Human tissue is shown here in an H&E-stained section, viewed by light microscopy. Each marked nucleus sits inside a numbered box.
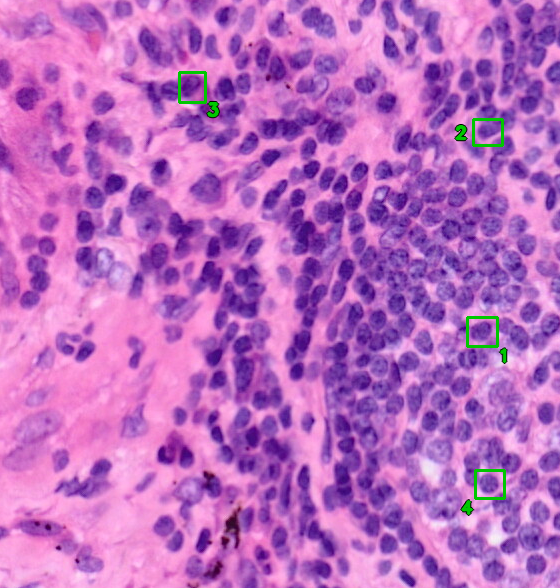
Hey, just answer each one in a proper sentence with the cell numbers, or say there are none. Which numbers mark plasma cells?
Only the cell with number 3 is a plasma cell.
